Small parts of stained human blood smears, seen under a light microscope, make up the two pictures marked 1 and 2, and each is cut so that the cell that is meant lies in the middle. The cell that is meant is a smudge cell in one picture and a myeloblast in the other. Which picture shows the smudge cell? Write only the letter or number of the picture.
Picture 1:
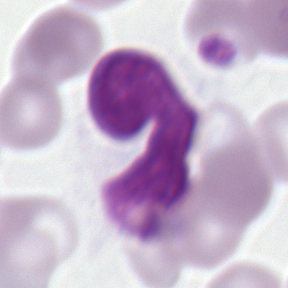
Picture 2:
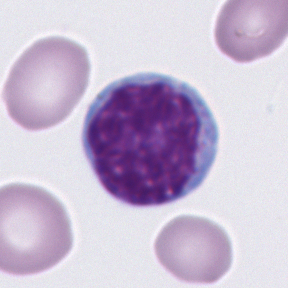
1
